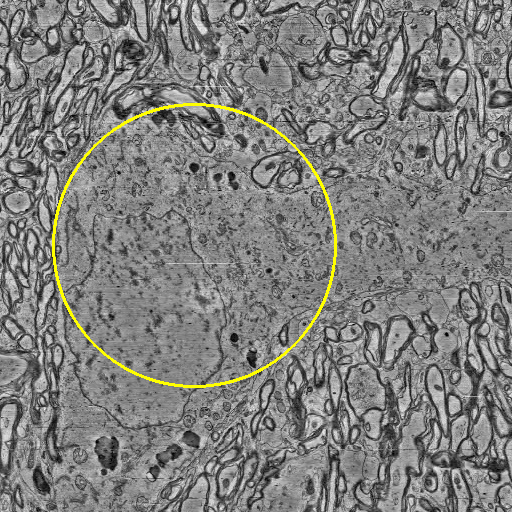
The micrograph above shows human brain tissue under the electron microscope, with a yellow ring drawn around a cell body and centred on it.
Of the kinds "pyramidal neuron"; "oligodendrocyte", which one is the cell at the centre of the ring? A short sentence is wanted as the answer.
The one at the centre of the ring is a pyramidal neuron.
